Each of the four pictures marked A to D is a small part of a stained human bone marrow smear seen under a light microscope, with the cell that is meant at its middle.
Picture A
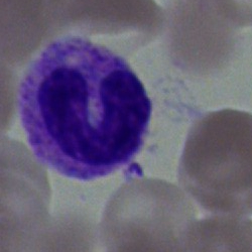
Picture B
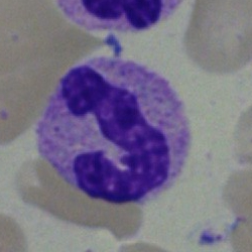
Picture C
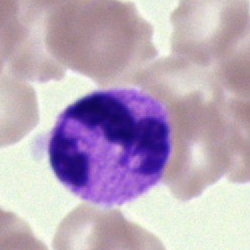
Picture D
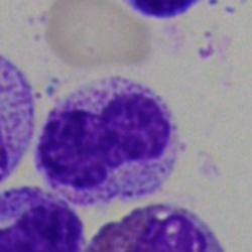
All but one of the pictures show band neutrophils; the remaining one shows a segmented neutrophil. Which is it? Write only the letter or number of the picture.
C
